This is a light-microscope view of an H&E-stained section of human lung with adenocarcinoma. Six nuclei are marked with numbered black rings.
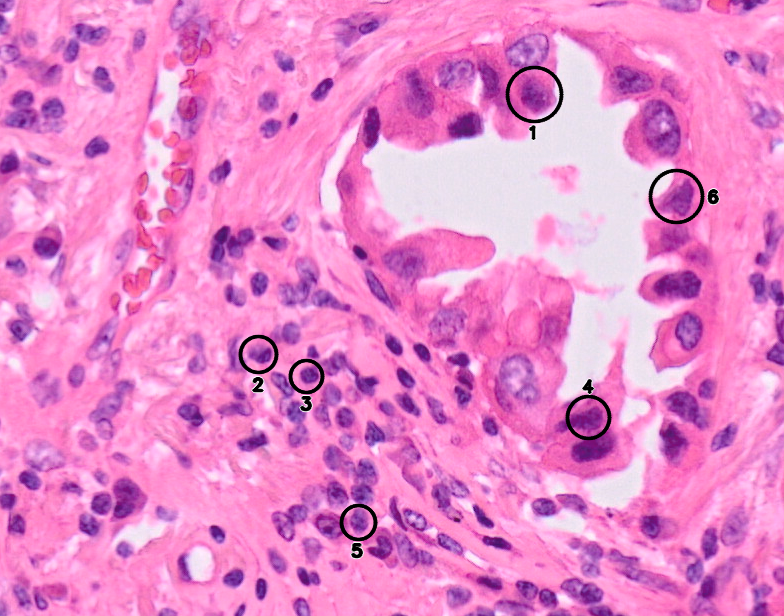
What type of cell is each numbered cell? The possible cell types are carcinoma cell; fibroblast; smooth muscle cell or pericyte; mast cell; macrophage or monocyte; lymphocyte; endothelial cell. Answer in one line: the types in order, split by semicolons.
carcinoma cell; lymphocyte; lymphocyte; carcinoma cell; lymphocyte; carcinoma cell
